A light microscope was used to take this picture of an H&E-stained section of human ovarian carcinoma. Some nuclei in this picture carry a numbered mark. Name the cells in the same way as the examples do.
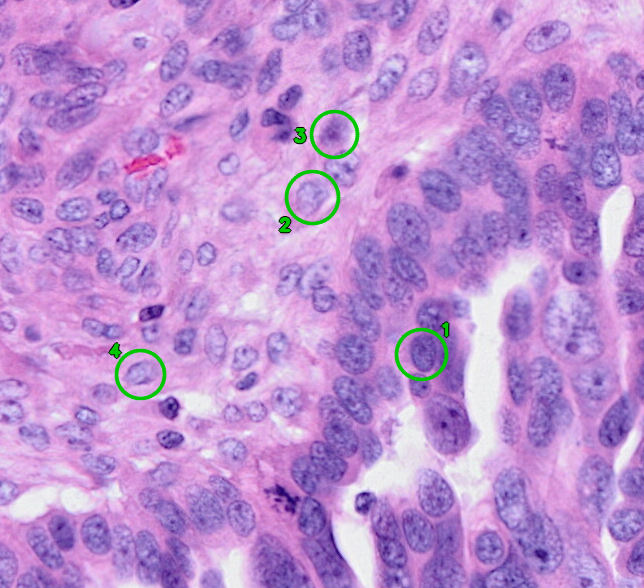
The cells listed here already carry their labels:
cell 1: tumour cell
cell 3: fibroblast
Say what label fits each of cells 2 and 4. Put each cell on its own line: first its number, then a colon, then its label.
2: fibroblast
4: fibroblast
